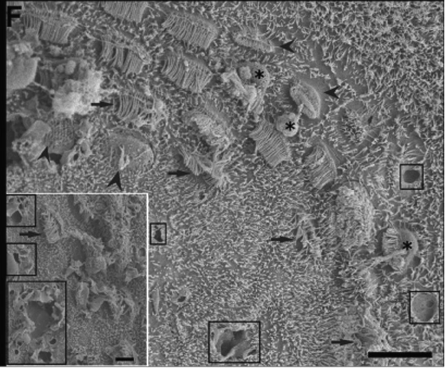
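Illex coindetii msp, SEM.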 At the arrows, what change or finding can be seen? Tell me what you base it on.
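Marked ciliary tufts are bent over and collapsed rather than standing in rows. That points to this answer: bending kinocillia.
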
